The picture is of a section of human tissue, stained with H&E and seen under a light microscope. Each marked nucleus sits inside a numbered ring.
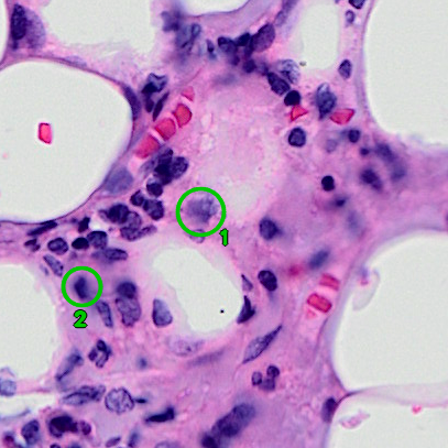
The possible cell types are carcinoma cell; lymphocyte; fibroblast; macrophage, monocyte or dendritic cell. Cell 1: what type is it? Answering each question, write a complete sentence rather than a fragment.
The mark numbered 1 indicates the nucleus of a fibroblast.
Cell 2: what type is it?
The cell that goes by number 2 is a lymphocyte.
